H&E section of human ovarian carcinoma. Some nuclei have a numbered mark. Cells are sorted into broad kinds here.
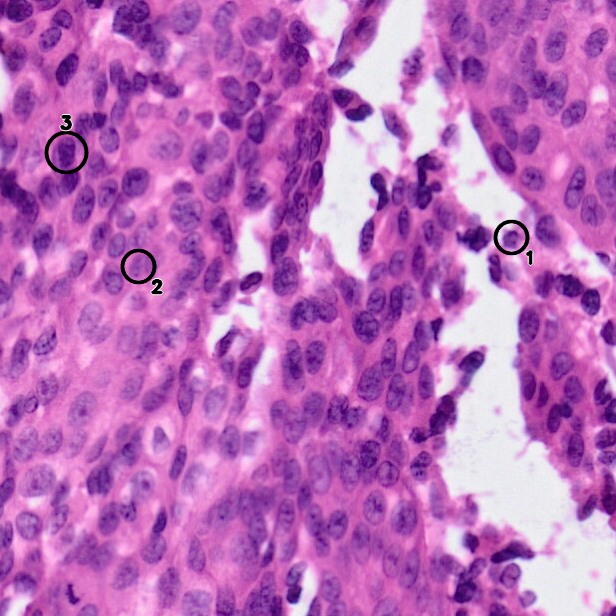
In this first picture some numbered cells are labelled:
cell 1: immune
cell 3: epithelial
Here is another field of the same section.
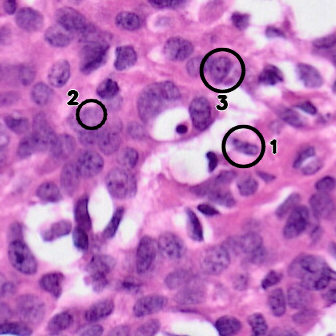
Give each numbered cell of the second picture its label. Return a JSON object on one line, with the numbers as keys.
{"1": "immune", "2": "epithelial", "3": "epithelial"}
